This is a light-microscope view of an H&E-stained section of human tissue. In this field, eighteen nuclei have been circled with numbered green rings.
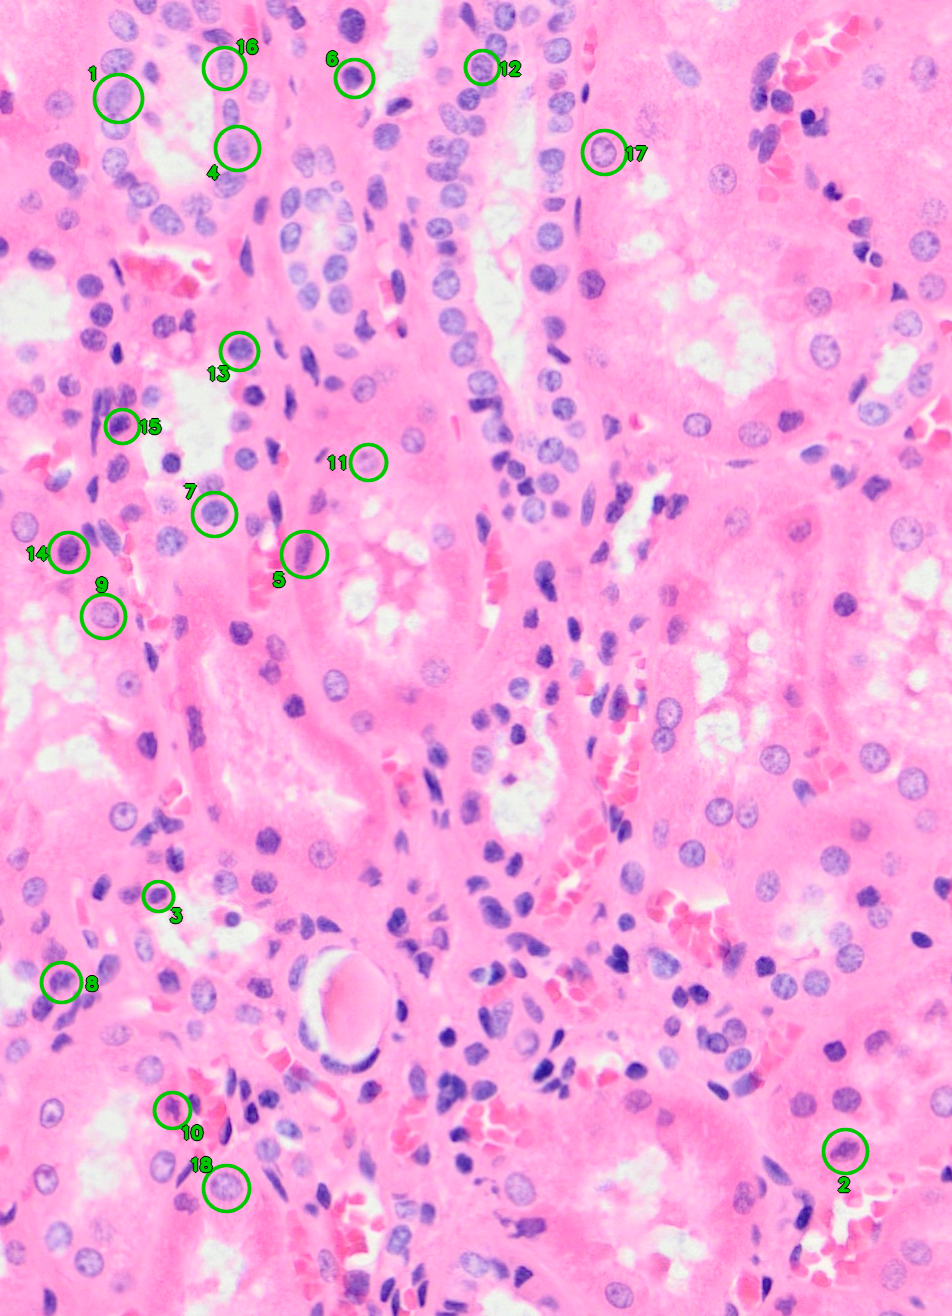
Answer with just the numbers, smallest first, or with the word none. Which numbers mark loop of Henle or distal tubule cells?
3, 6, 7, 8, 13, 15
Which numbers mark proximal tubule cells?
2, 5, 9, 10, 11, 14, 17, 18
